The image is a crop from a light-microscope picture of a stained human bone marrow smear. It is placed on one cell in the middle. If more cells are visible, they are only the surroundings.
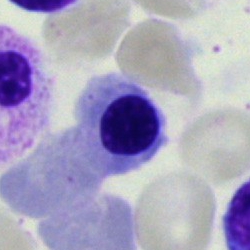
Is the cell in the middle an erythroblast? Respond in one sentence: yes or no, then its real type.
Yes, the middle cell is classified as an erythroblast.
